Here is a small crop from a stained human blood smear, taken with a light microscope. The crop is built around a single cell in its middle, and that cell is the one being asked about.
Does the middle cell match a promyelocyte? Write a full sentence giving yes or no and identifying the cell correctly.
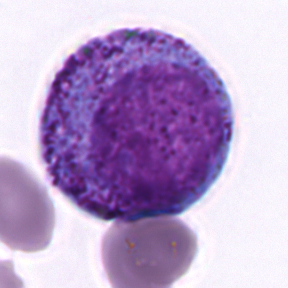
Yes, the cell at the middle of the frame is a promyelocyte.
